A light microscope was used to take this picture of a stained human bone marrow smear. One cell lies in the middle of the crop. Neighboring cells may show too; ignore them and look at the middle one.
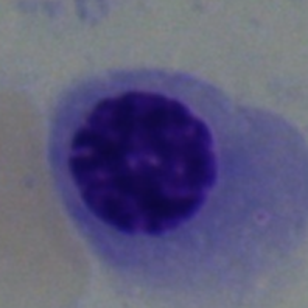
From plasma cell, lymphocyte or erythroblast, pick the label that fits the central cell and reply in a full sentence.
In the crop, the cell of interest at the centre is an erythroblast.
